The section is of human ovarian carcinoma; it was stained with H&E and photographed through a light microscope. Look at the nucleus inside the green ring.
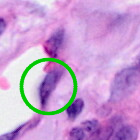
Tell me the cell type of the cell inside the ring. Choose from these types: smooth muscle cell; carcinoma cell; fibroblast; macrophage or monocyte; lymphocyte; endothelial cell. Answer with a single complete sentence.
The identity of the cell inside the ring is that of an endothelial cell.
